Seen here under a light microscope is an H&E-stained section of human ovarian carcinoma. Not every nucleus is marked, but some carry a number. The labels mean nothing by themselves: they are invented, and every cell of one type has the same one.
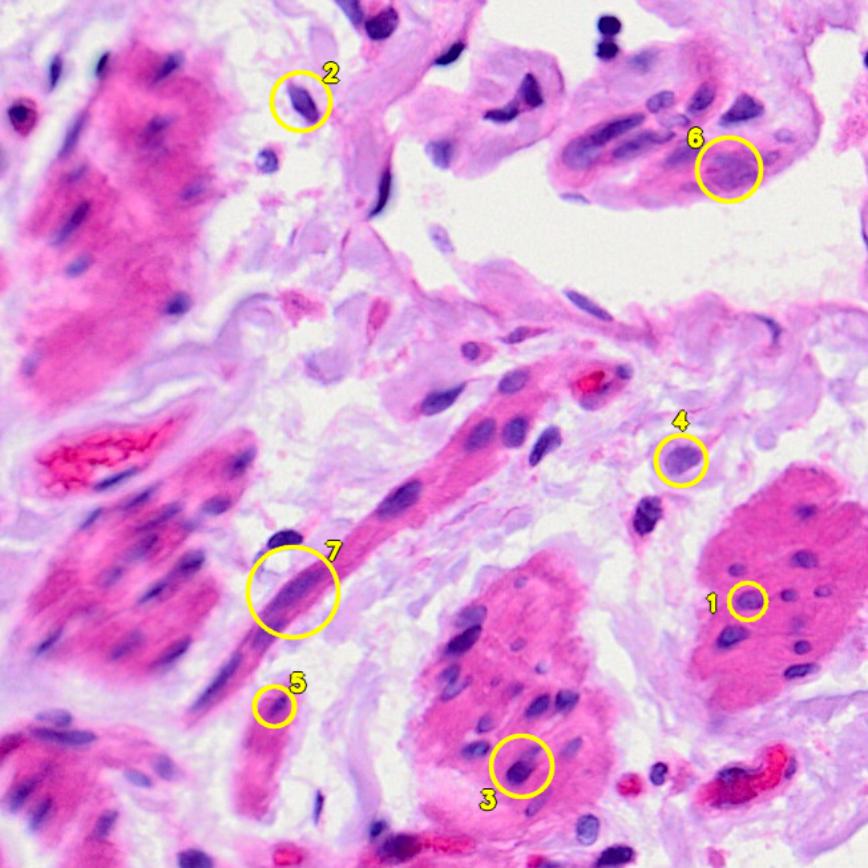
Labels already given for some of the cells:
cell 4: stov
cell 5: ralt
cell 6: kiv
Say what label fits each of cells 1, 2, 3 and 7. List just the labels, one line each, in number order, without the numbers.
ralt
stov
ralt
ralt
